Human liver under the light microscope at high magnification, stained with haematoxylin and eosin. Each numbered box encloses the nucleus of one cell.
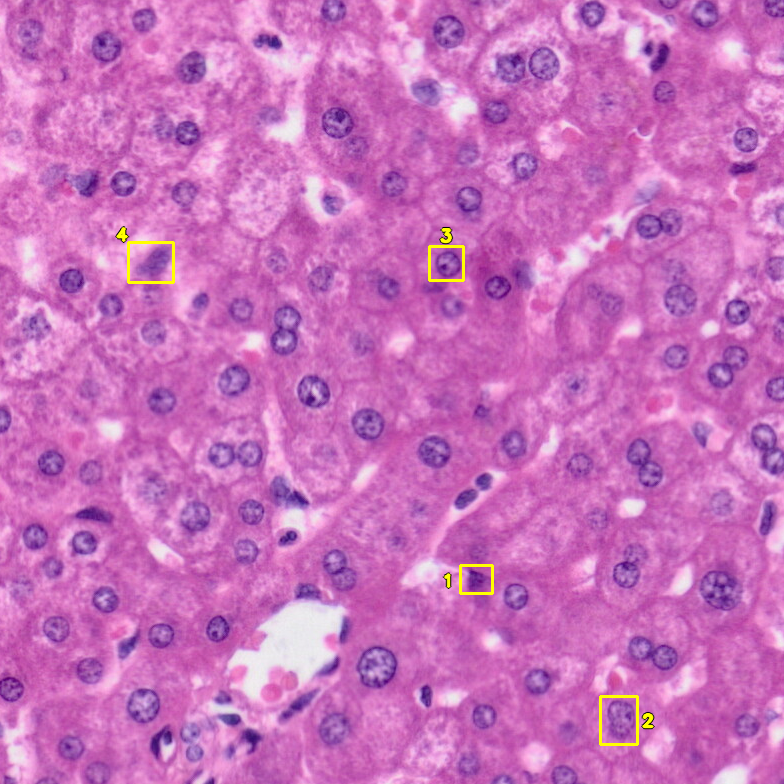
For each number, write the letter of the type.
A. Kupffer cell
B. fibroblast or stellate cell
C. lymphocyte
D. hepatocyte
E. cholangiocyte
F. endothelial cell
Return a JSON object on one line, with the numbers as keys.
{"1": "B", "2": "D", "3": "D", "4": "A"}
